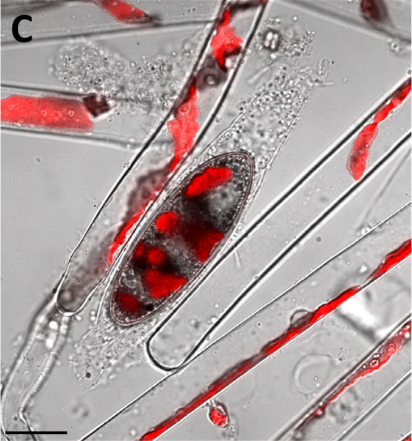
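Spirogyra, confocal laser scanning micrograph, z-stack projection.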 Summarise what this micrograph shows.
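Several long, straight-walled filament cells lie at a slant across the field. One cell holds an oval body with a distinct thick outline. Inside this body are several bright red, rounded to irregular patches set among darker granular material. Pale, finely granular material surrounds the oval body within its cell. In the neighbouring filament cells, the red signal forms long, narrow bands and streaks that run along the cells. The oval, thick-walled body with clumped red-fluorescent contents, lying within a filament cell, is a zygospore. The filament cells around it hold their red material in long strips rather than in clumps.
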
